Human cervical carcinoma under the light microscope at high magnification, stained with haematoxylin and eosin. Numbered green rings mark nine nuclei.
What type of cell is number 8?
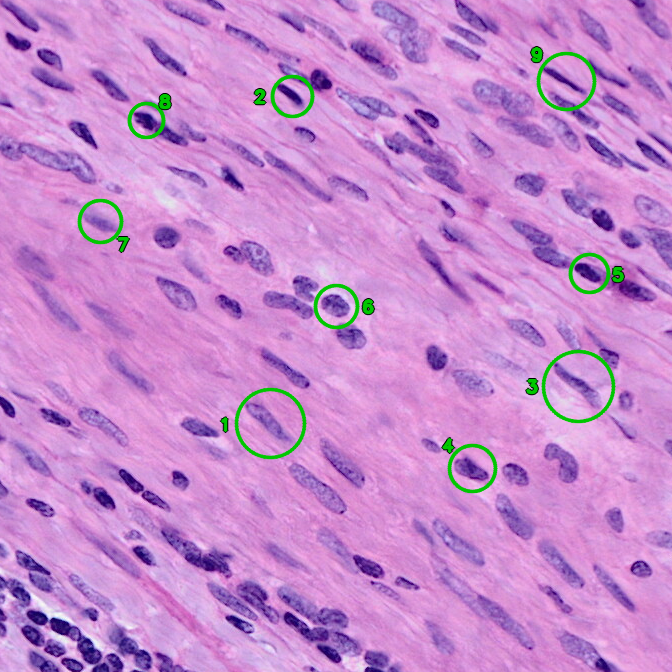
lymphocyte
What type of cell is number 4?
lymphocyte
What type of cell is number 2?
lymphocyte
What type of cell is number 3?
fibroblast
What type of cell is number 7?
fibroblast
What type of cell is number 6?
lymphocyte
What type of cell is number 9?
fibroblast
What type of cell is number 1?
fibroblast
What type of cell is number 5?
lymphocyte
